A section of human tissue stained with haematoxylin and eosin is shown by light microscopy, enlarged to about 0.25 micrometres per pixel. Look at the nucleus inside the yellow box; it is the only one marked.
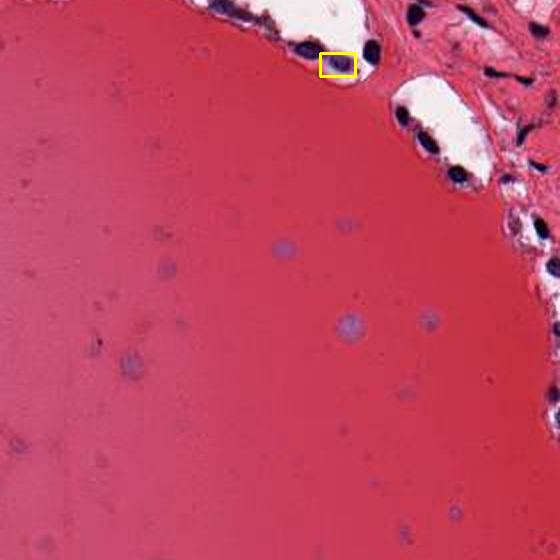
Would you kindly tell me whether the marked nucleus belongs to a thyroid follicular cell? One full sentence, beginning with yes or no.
Yes, the nucleus singled out in the image belongs to a thyroid follicular cell.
